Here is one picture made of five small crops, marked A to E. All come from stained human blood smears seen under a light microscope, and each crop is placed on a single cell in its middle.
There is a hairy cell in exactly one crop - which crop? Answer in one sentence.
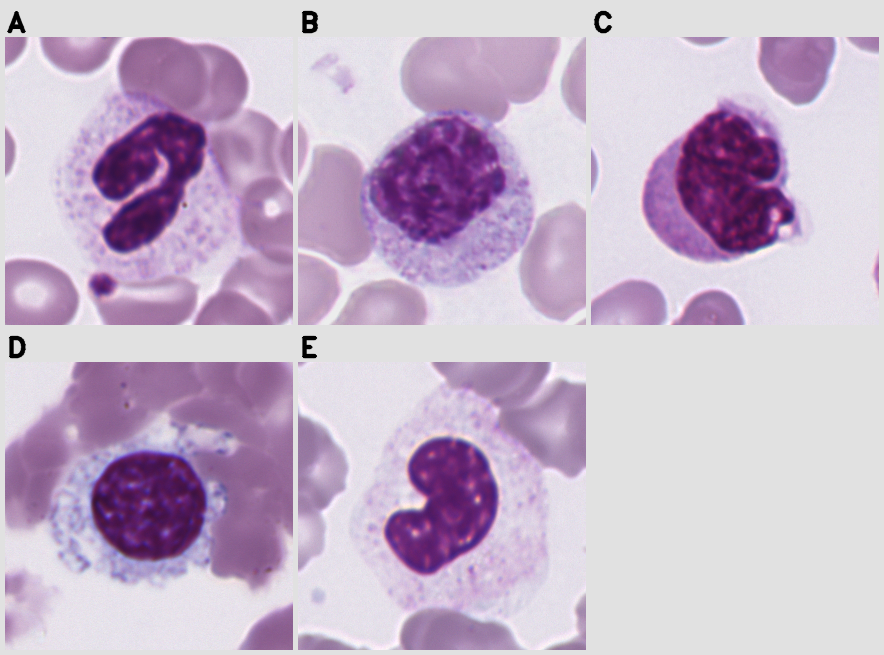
Of the cells presented, the one in crop D is a hairy cell.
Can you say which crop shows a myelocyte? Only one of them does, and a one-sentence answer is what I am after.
Of these crops, it is crop B that shows a myelocyte.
